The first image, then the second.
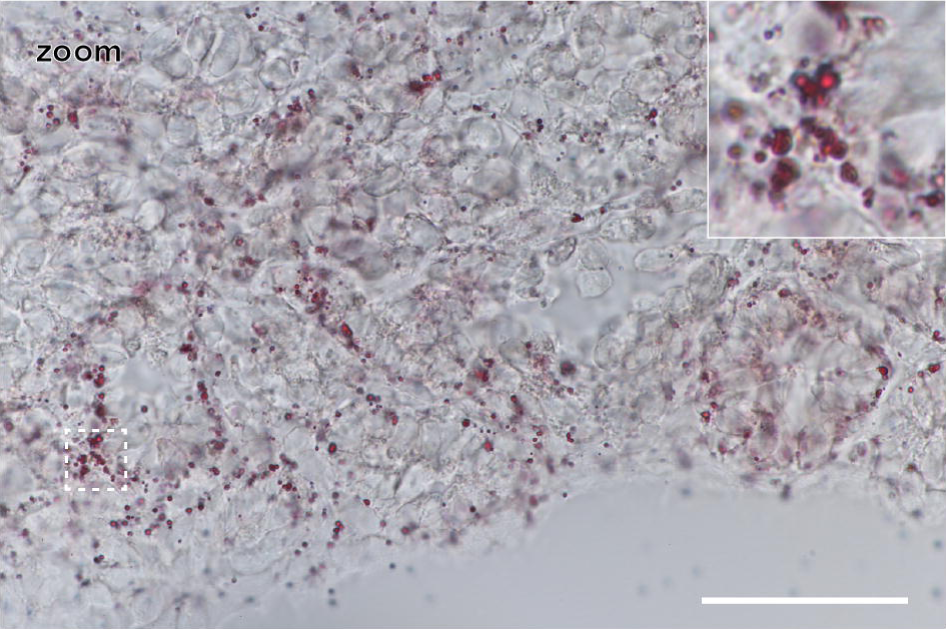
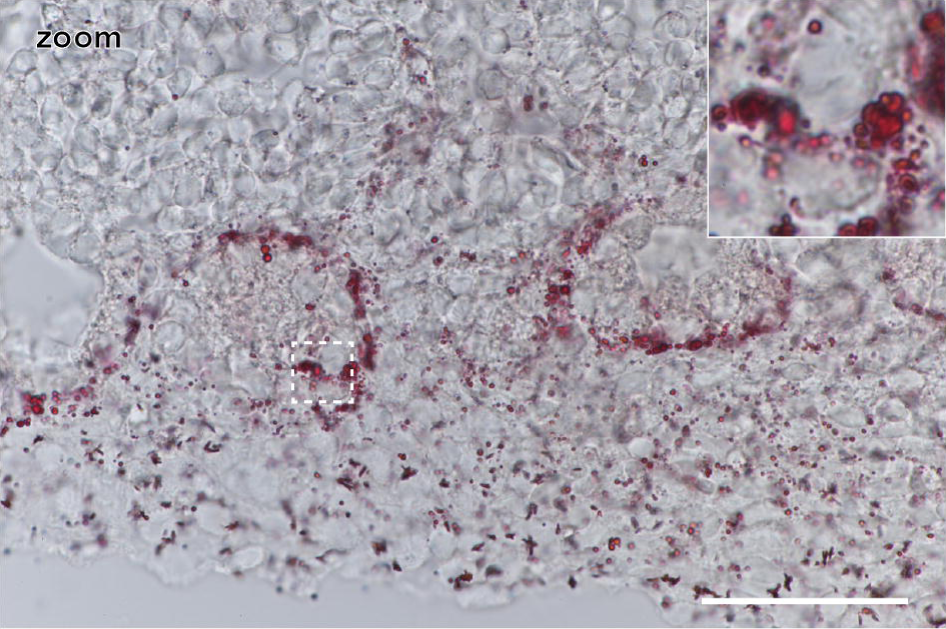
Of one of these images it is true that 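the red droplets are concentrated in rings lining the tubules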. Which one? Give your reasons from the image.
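Second image: dense bands of red droplets outline round tubular structures, and the inset shows larger red globules. First image: smaller red dots are spread more evenly through the tissue, with only faint outlining of round structures. On this evidence: the second image.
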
